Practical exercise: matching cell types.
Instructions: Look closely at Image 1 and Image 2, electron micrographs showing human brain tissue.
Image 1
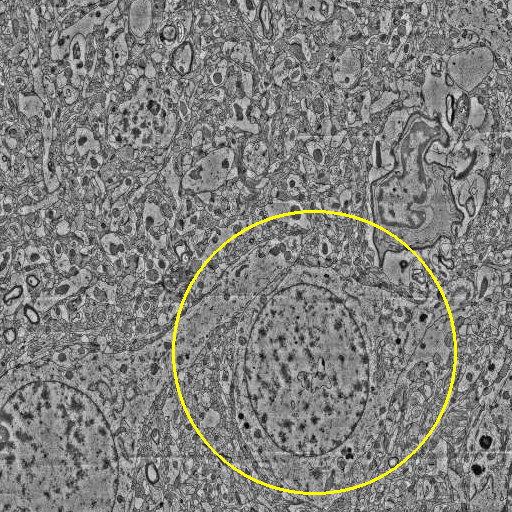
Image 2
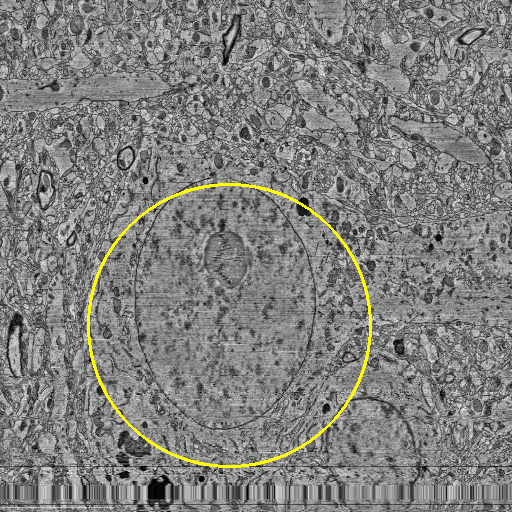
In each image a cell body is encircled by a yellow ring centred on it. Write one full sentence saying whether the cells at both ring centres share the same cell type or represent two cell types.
Across Image 1 and Image 2, the cells at the ring centres share the same cell type.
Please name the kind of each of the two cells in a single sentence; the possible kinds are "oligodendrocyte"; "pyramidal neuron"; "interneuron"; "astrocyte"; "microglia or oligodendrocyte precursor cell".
Both pictures show a pyramidal neuron at the centre of the ring.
